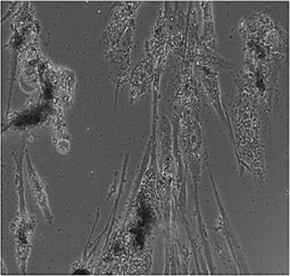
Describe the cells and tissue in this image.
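Here the fibroblast culture is sparse and broken up, with wide empty areas of dish between irregular islands of cells. The remaining cells are less regularly spindle-shaped and their cytoplasm looks coarsely granular. Dark, irregular clumps of material lie on and beside the cell groups, and a few cells appear rounded and bright.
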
